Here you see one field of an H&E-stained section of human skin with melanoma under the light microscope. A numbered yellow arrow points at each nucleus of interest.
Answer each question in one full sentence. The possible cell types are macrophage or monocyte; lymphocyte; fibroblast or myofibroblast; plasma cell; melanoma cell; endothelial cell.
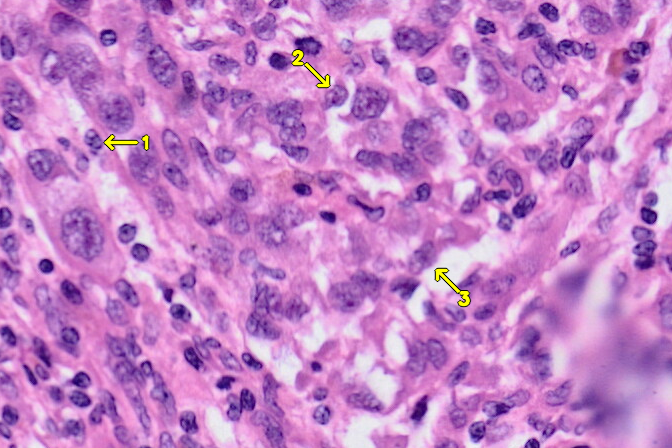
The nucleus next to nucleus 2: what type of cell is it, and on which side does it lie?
Just above and to the right of nucleus 2 lies the nearest nucleus, which belongs to a macrophage or monocyte.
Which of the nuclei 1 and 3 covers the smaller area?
Nucleus 1 is the smaller one; nucleus 3 covers about 1.5 times its area.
